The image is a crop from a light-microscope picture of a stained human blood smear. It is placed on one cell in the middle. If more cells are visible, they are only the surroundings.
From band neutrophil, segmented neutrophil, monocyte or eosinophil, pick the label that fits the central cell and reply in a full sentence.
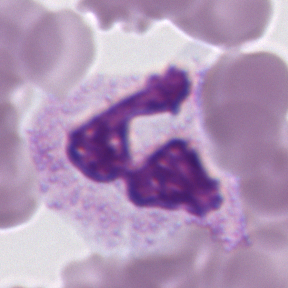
The cell at the middle of the crop is recognized as a segmented neutrophil.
